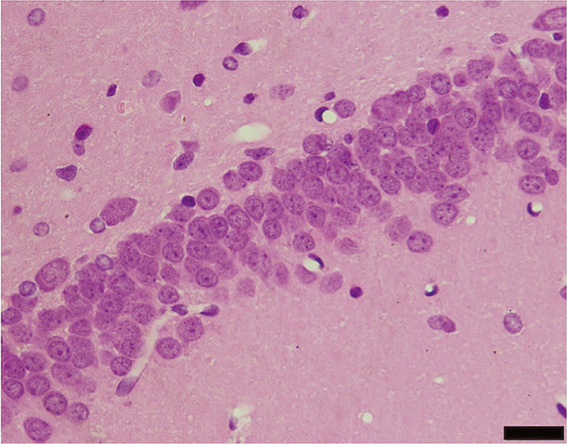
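This is the pyramidal cell layer of the hippocampus, a broad band of neurons lying tightly packed and orderly arranged. Each neuron has a large round pale nucleus with a distinct dark nucleolus, surrounded by a rim of purple-stained cytoplasm. On both sides of the band lies a pale pink, finely fibrous neuropil with scattered small dark glial nuclei and a few small vessels.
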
